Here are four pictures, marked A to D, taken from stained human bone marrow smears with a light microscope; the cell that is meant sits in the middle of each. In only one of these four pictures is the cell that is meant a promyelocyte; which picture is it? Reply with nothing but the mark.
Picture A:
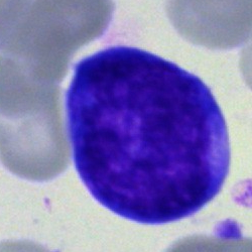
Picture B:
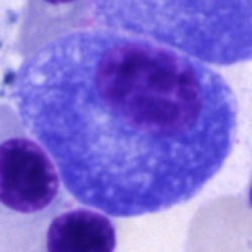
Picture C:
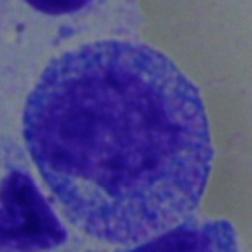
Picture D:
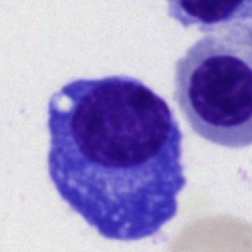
C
